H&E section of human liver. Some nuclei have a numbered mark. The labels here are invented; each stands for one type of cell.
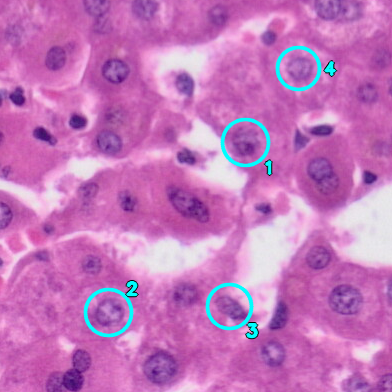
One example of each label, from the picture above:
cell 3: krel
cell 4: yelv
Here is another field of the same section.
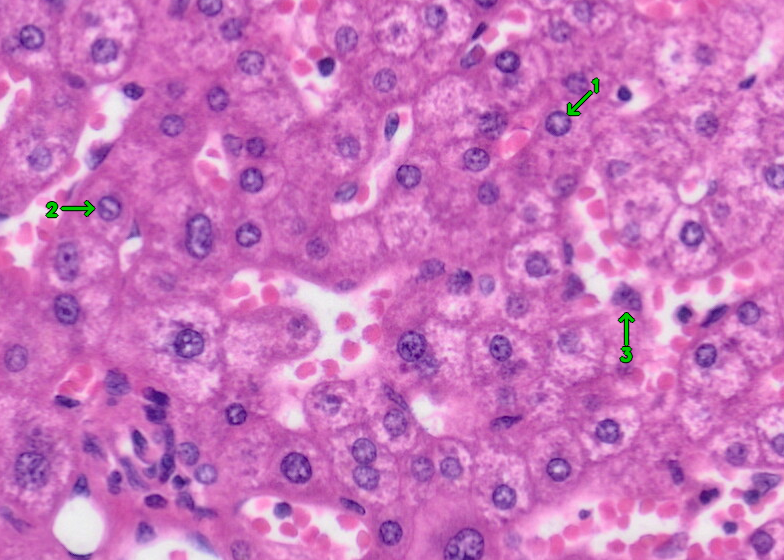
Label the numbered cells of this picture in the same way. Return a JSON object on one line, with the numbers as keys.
{"1": "yelv", "2": "yelv", "3": "krel"}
